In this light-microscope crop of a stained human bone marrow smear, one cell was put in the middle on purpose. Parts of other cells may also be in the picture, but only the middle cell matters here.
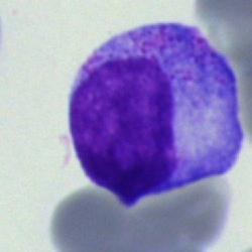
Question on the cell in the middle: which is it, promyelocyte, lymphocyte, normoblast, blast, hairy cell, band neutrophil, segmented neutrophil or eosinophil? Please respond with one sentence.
Occupying the centre of the crop is a promyelocyte.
